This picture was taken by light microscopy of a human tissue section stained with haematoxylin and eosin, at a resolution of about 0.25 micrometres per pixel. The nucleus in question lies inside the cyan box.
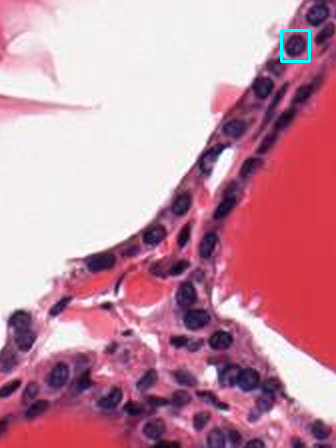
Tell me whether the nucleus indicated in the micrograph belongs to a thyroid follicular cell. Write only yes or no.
yes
